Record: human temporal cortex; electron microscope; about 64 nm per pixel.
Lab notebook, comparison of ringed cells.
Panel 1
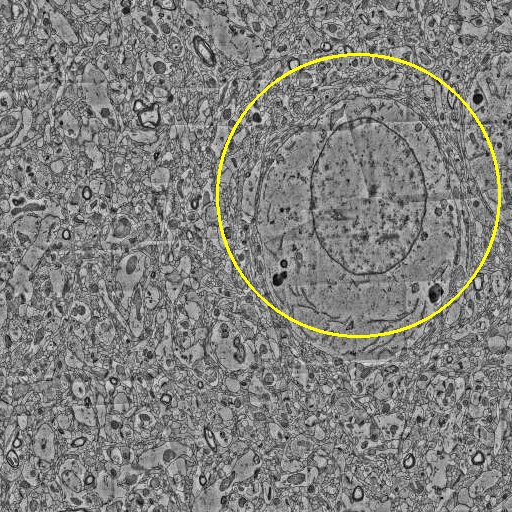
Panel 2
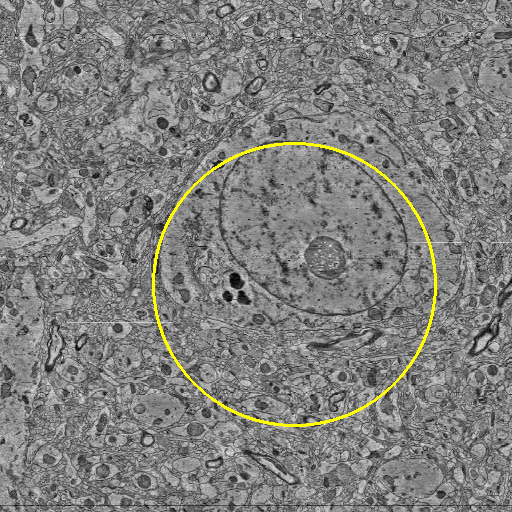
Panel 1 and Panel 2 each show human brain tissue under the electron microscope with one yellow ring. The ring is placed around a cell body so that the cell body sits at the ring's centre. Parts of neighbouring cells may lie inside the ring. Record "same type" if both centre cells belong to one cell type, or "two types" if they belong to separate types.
same type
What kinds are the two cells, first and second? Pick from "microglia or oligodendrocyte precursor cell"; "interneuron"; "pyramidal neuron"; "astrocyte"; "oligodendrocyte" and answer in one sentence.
The first and the second cell are each a pyramidal neuron.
